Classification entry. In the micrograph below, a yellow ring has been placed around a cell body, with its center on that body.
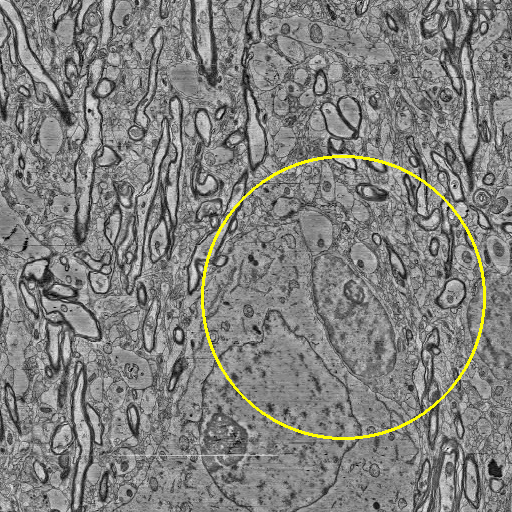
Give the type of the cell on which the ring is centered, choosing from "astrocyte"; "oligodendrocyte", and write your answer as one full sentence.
The cell body at the center of the yellow ring belongs to an oligodendrocyte.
